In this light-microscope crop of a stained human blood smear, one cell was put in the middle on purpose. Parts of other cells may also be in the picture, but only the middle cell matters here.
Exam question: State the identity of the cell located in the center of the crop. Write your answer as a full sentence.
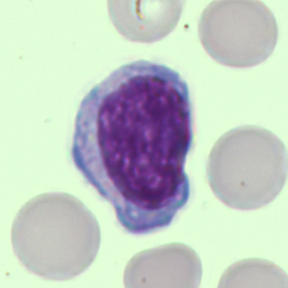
The crop's centre is taken up by a plasma cell.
